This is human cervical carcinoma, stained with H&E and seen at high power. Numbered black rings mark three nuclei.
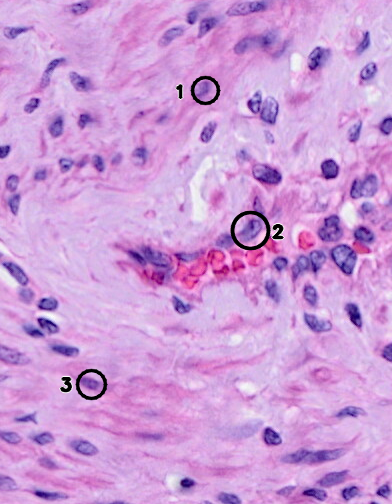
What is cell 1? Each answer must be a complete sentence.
Regarding cell 1, this one is a smooth muscle cell.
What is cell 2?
Cell 2 should be recorded as an endothelial cell.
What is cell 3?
The cell pointed out as number 3 is a smooth muscle cell.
